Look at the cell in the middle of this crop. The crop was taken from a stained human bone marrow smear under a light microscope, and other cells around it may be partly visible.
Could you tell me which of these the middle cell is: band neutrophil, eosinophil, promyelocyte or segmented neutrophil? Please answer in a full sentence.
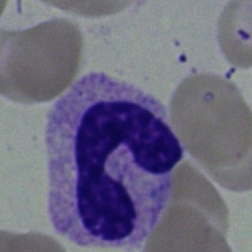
Here the centrally located cell is a band neutrophil.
